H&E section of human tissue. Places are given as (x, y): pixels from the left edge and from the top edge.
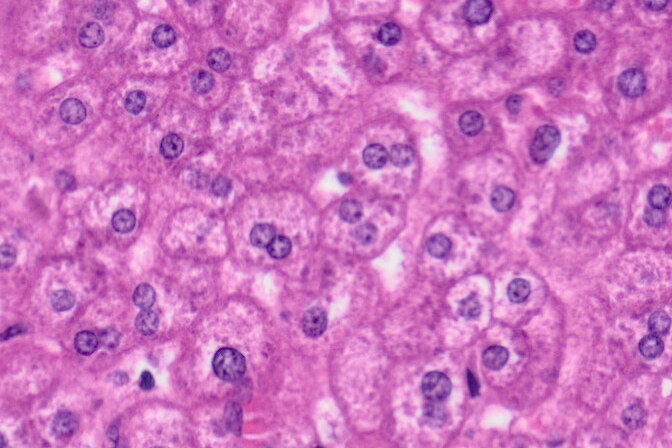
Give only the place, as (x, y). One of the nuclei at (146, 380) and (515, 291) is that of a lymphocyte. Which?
(146, 380)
